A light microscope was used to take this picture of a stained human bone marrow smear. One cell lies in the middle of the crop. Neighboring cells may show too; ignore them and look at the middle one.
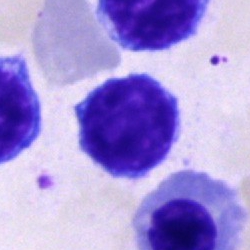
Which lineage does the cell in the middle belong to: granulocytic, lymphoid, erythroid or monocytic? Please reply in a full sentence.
The cell in the crop's center is a cell of the lymphoid lineage.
